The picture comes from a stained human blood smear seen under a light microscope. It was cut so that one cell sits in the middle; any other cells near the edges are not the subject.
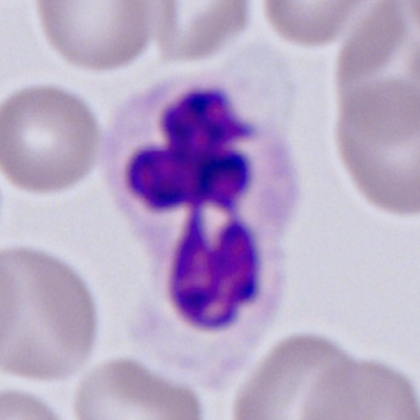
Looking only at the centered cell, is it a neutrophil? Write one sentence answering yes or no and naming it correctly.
Yes, a neutrophil occupies the middle of the crop.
